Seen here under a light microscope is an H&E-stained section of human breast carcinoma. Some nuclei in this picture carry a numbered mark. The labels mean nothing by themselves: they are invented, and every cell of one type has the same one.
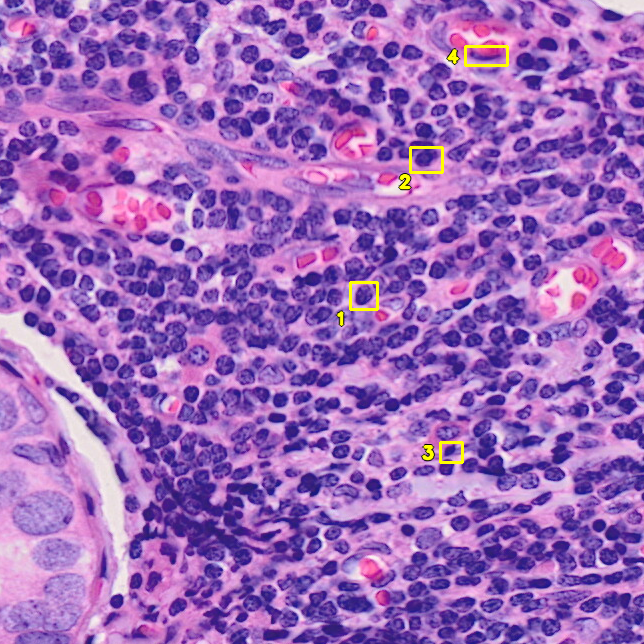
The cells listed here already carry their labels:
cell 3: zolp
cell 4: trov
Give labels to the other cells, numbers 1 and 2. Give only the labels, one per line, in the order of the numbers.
zolp
zolp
